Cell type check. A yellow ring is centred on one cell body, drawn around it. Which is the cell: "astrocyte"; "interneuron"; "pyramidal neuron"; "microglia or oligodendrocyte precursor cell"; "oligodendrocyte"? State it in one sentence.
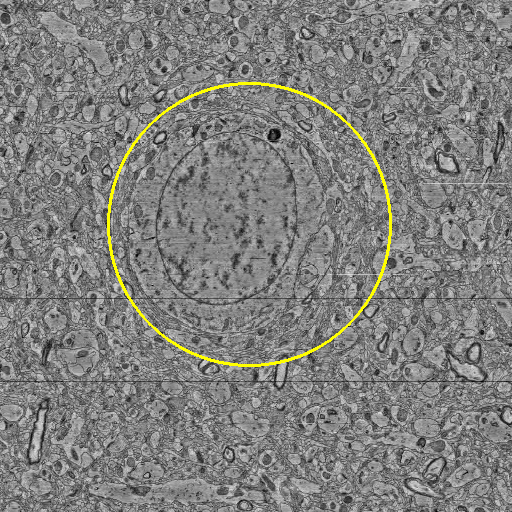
The cell body at the ring's centre belongs to a pyramidal neuron.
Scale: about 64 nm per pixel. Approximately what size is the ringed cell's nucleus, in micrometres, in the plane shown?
About 12 by 9 micrometers for the nucleus, in this plane.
